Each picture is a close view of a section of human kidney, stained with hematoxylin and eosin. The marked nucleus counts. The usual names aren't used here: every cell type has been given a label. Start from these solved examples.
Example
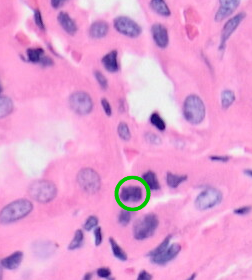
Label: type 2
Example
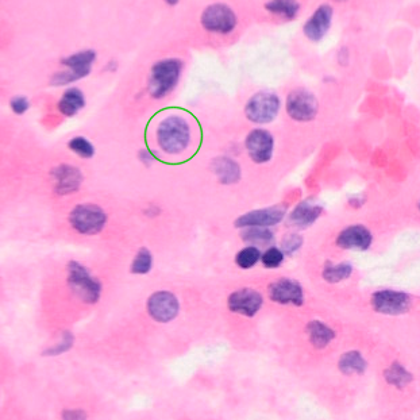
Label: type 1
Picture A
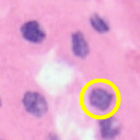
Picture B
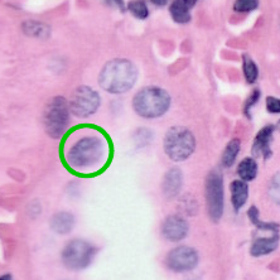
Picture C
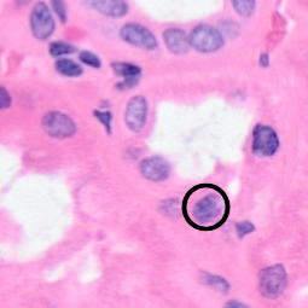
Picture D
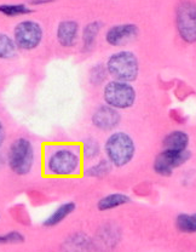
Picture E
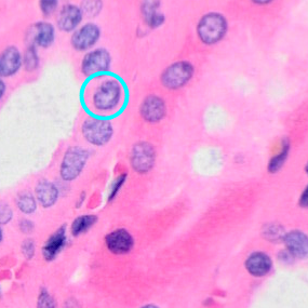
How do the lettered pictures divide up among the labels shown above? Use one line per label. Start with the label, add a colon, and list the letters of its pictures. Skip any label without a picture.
type 2: B, D, E
type 1: A, C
